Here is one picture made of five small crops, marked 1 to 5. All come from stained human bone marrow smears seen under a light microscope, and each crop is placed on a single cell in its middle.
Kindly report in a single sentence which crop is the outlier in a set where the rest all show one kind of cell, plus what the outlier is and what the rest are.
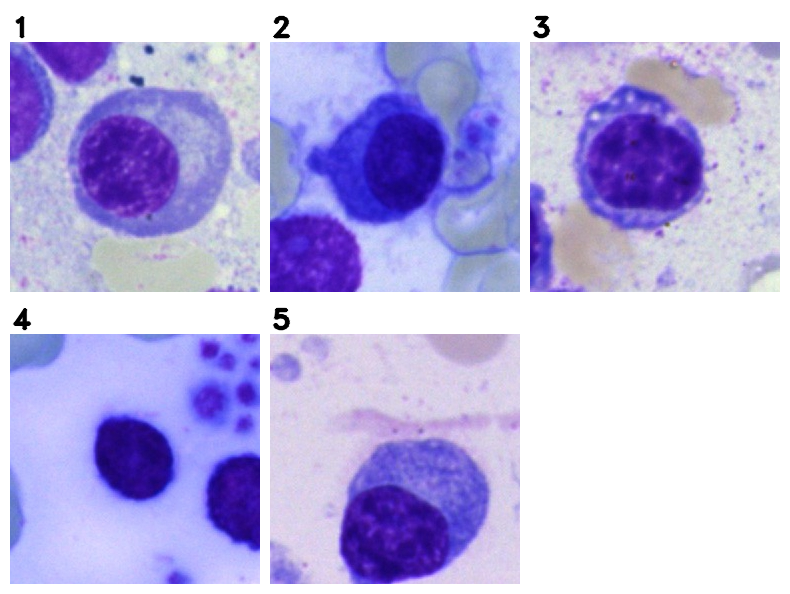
Although the other crops all show plasma cells, crop 4 shows a lymphocyte.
